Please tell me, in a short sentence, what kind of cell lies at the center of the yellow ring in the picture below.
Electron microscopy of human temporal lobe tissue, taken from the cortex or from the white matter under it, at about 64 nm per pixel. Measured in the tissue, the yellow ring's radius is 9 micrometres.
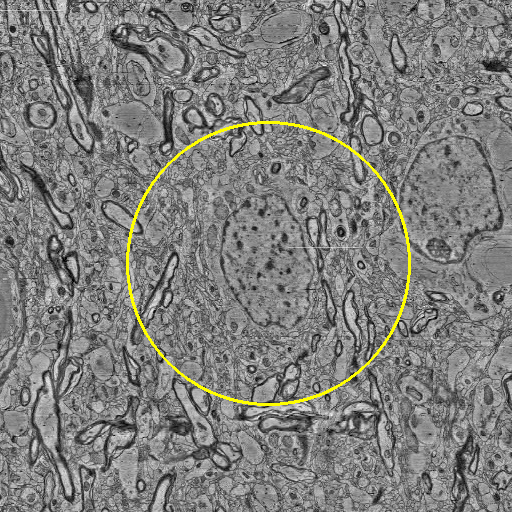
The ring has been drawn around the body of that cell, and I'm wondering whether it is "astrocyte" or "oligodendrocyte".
The cell at the center of the ring is an astrocyte.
